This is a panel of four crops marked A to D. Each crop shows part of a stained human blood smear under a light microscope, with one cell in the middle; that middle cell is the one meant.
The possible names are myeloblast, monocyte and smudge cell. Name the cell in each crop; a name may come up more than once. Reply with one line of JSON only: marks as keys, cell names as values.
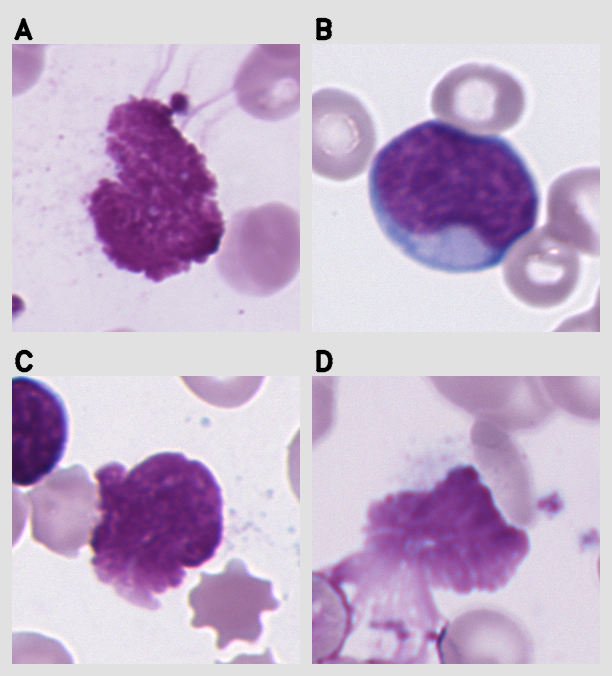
{"A": "smudge cell", "B": "myeloblast", "C": "smudge cell", "D": "smudge cell"}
